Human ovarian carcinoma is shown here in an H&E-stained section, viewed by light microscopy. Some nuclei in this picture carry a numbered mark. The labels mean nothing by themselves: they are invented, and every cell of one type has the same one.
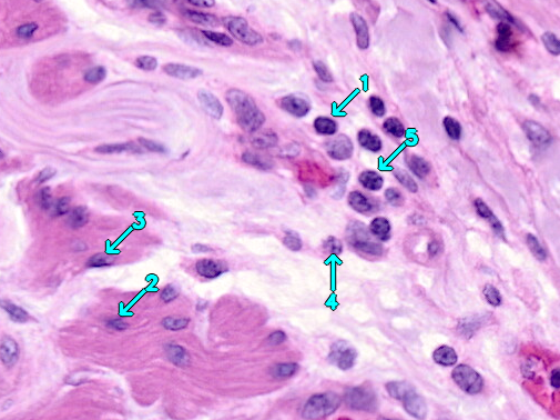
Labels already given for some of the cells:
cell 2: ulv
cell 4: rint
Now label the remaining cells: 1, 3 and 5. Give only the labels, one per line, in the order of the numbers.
rint
ulv
rint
